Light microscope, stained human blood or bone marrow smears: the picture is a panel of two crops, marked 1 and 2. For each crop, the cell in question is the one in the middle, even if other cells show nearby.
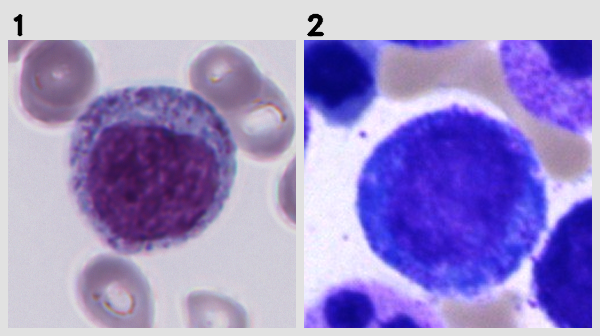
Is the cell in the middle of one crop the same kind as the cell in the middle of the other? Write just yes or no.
yes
